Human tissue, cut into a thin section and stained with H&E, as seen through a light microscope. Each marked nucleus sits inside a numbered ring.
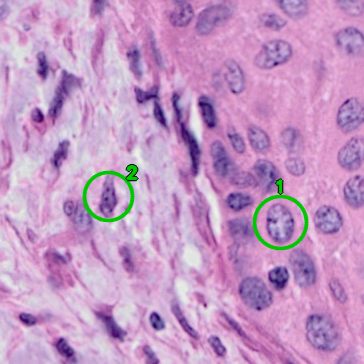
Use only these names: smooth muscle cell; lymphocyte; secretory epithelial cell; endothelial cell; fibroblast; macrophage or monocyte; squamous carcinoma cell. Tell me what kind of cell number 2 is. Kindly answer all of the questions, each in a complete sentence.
Within this field of view, the cell labelled 2 is a macrophage or monocyte.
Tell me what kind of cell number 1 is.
The correct answer for cell 1 is a squamous carcinoma cell.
